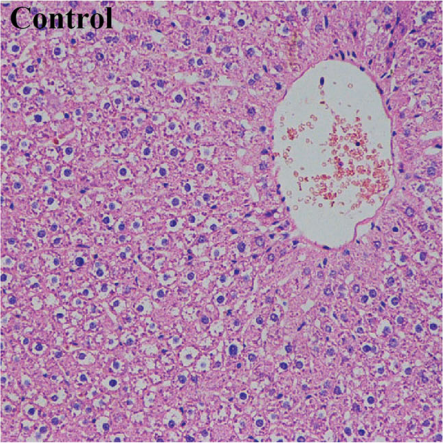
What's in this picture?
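This is liver tissue with a central vein near the top right, holding scattered red blood cells. Polygonal hepatocytes are arranged in cords that radiate from the vein, separated by thin sinusoids. The cytoplasm looks finely pale and slightly vacuolated. The vein is lined by flat endothelial cells with thin dark nuclei, and the lobule around it shows no clusters of small dark cells.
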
